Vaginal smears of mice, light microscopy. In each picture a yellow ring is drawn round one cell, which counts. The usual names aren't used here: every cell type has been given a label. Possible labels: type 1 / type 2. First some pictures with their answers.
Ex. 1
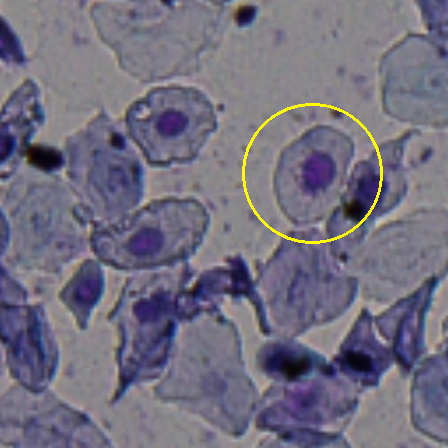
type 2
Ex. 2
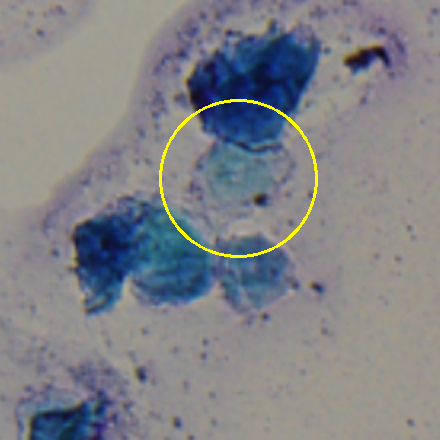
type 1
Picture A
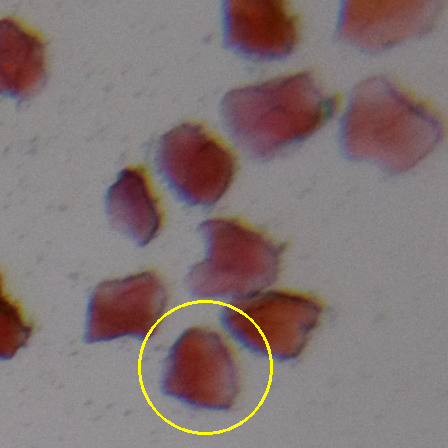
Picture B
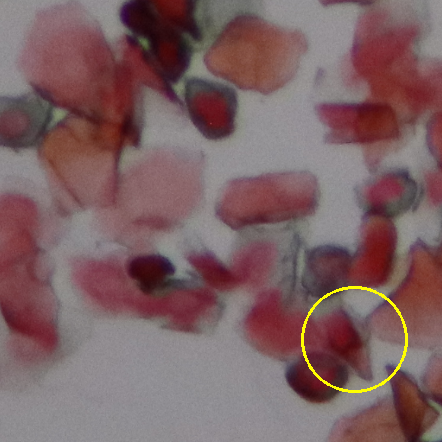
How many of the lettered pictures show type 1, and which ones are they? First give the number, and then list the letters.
Count: 2 (A, B)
